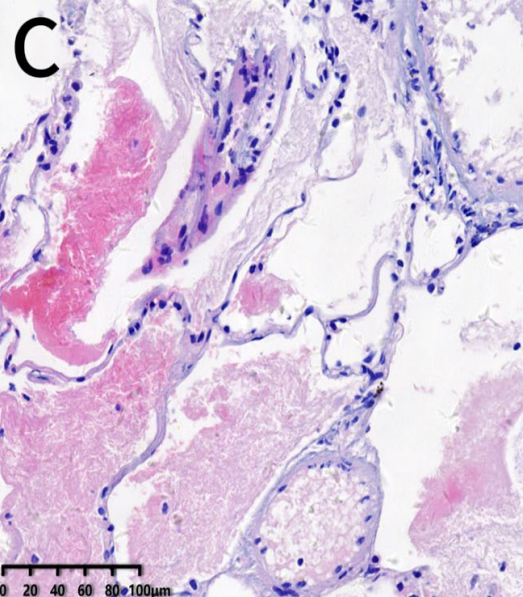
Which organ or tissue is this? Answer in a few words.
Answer: Lung parenchyma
